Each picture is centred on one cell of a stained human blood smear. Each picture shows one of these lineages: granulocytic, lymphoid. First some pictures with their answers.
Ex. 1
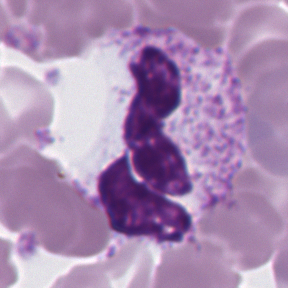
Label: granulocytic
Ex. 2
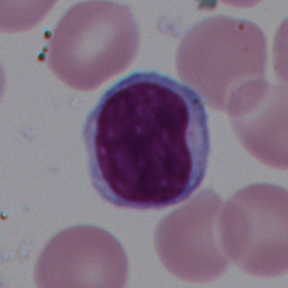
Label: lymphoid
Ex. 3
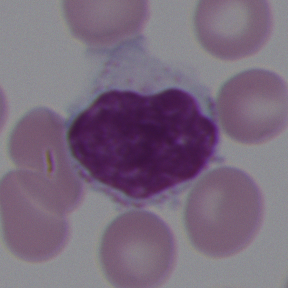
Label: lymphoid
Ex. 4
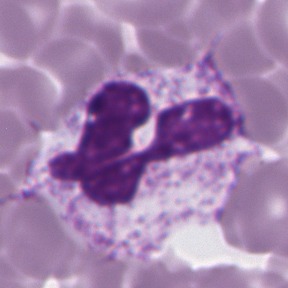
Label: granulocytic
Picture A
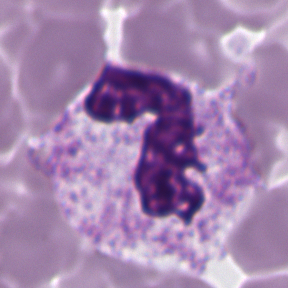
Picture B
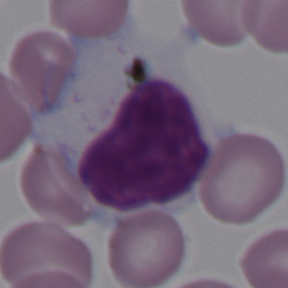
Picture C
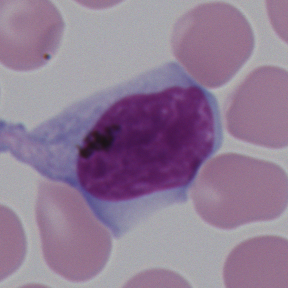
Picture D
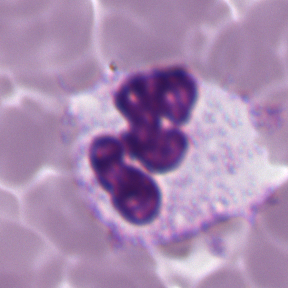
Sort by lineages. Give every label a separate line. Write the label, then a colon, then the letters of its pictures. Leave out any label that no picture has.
granulocytic: A, D
lymphoid: B, C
